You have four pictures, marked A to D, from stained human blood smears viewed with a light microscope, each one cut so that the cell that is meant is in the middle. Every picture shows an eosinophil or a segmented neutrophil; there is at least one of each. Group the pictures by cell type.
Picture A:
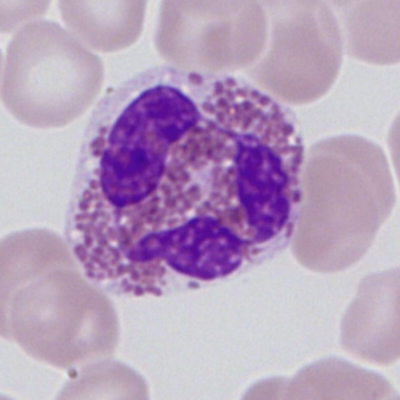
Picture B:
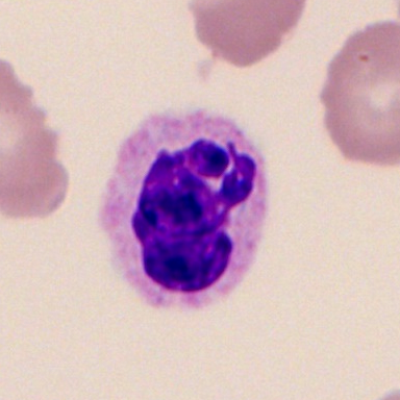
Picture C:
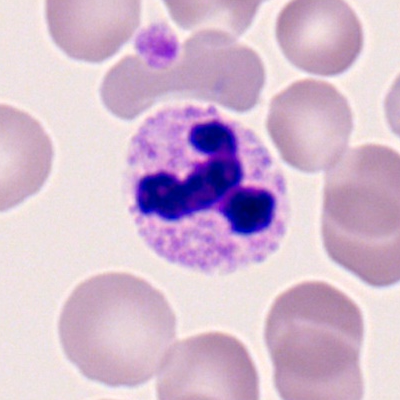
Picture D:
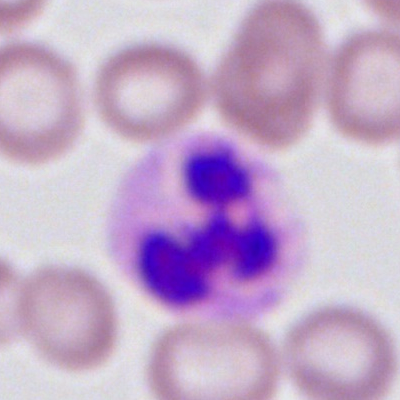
A: eosinophil
B: segmented neutrophil
C: segmented neutrophil
D: segmented neutrophil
